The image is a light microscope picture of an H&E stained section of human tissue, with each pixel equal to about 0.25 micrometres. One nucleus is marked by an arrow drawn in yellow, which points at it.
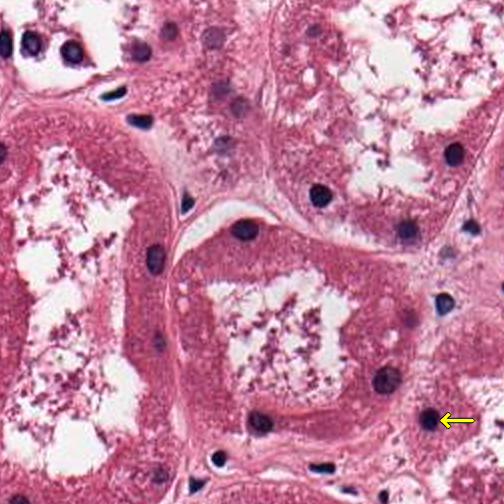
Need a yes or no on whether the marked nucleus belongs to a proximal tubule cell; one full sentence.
Yes, the marked nucleus forms part of a proximal tubule cell.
